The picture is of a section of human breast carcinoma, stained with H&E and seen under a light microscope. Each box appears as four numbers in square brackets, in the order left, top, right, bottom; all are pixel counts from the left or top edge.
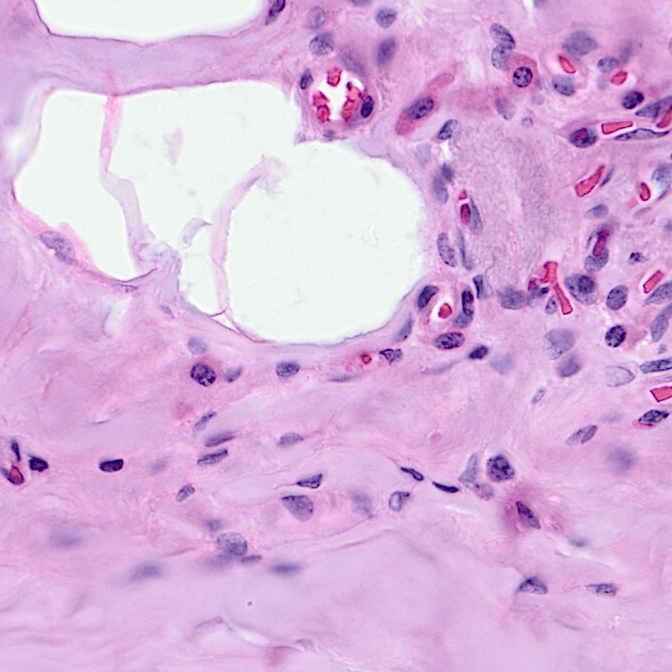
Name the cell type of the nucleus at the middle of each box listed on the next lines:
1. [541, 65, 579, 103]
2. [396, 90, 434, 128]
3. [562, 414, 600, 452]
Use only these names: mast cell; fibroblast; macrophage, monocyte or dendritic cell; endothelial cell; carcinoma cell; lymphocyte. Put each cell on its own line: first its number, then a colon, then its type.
1: endothelial cell
2: mast cell
3: fibroblast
